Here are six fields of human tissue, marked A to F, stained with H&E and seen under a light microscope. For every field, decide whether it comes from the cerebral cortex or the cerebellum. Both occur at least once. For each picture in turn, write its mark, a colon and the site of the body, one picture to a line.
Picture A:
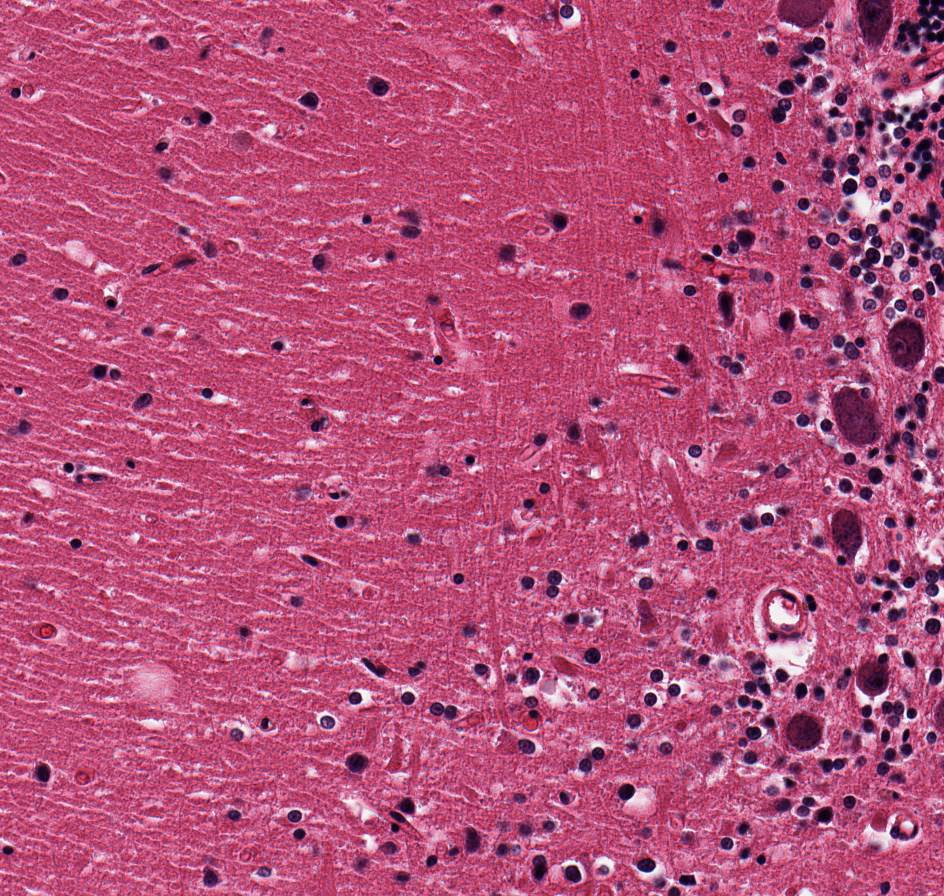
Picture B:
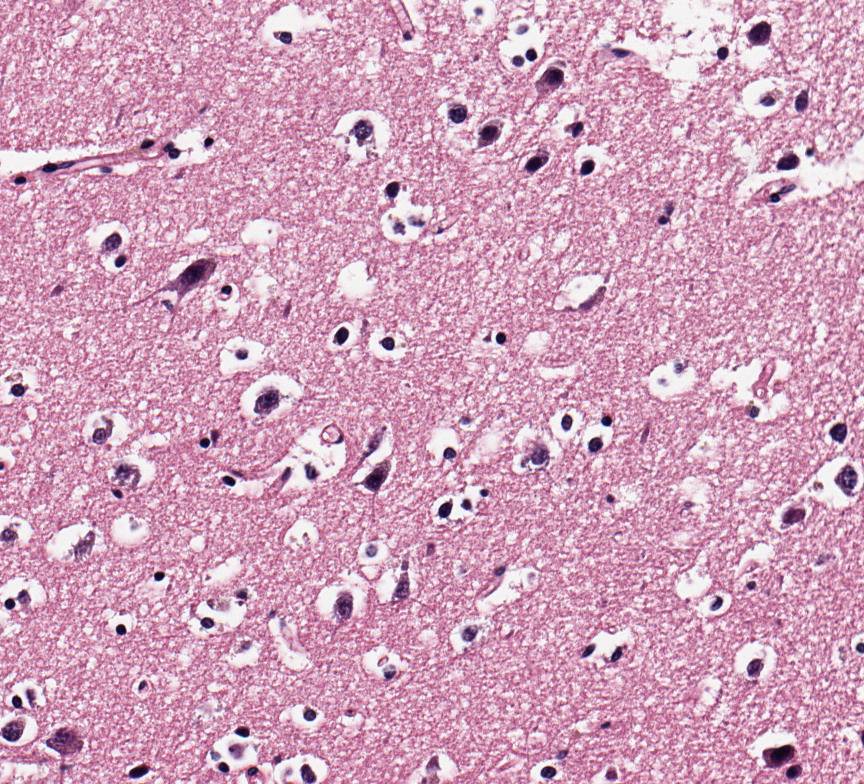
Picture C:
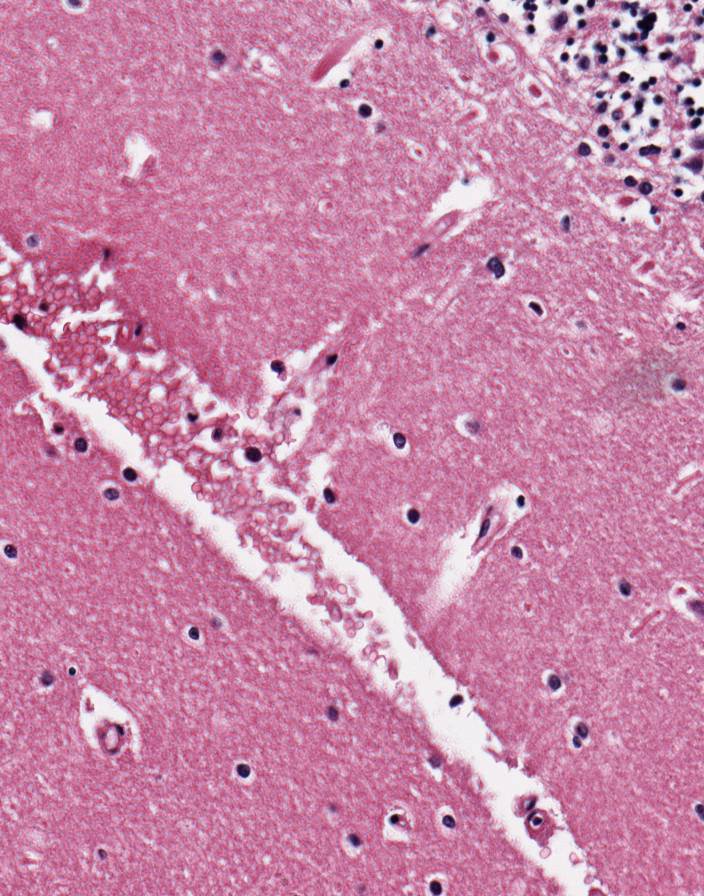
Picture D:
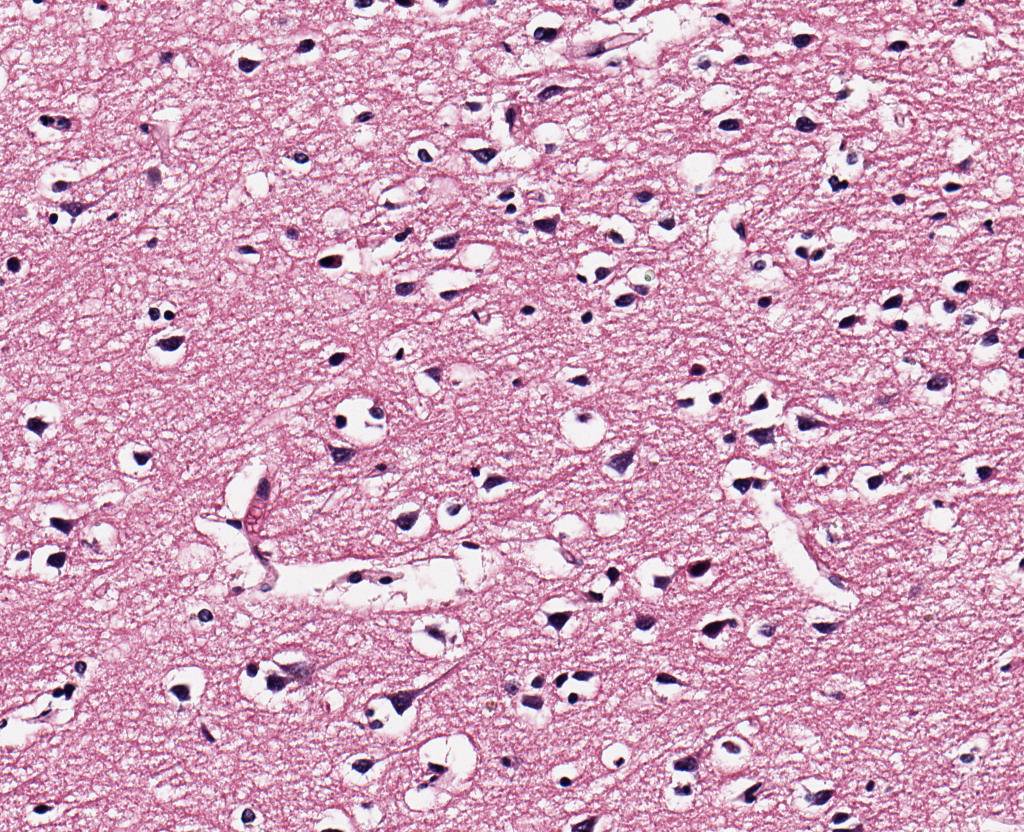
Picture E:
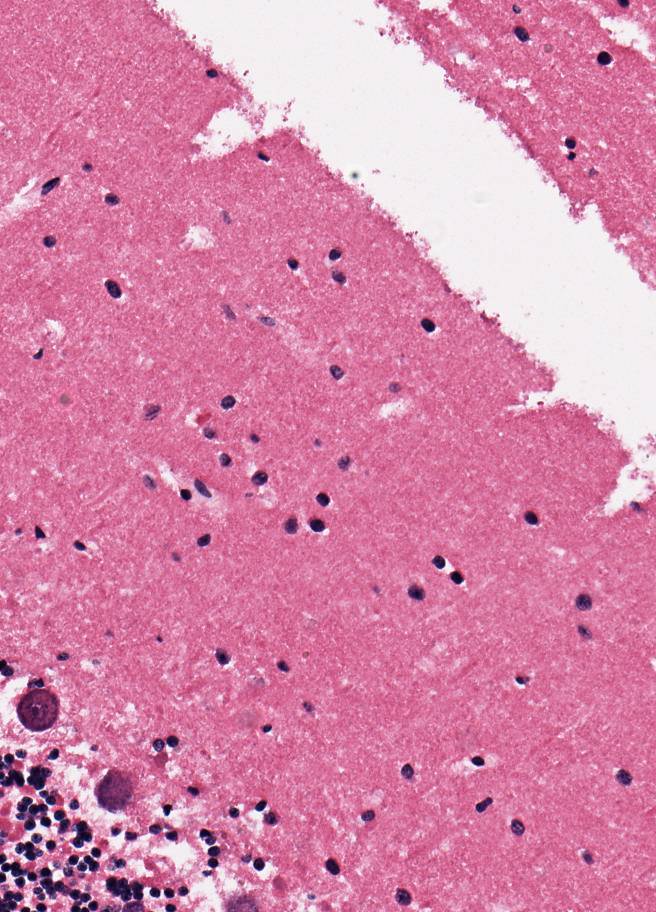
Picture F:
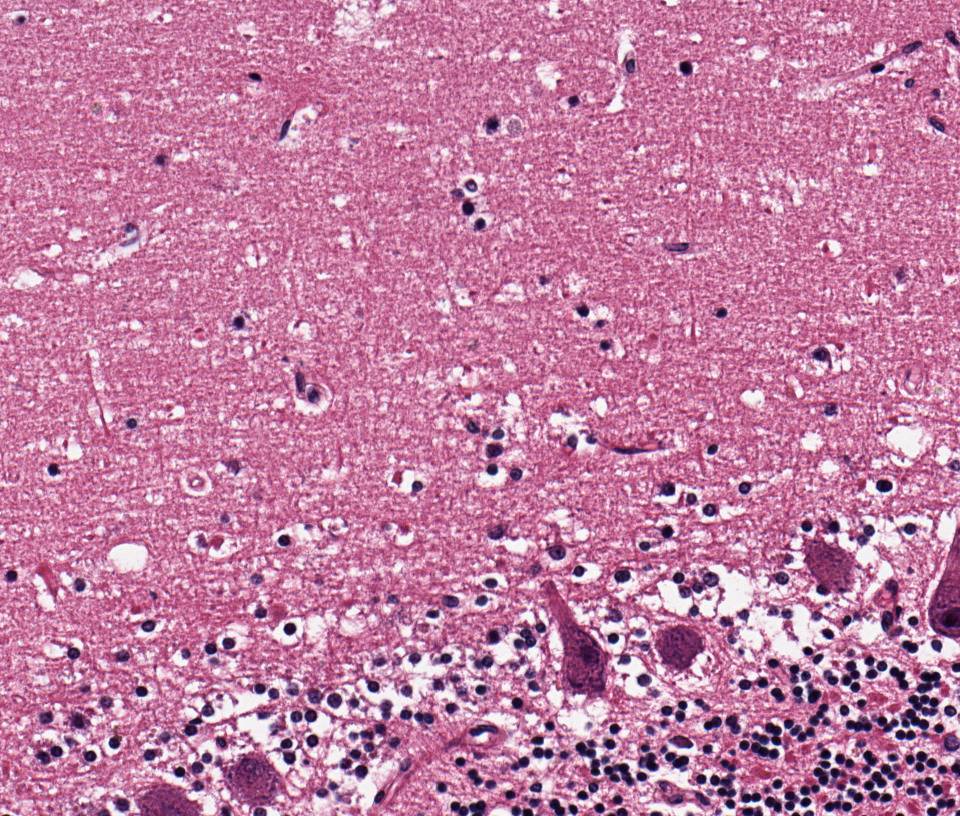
A: cerebellum
B: cerebral cortex
C: cerebellum
D: cerebral cortex
E: cerebellum
F: cerebellum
